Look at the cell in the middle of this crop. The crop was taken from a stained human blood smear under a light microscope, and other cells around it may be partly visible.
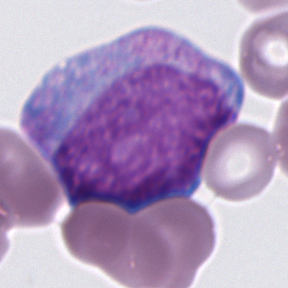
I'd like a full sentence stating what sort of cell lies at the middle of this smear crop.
The central cell shown in this smear crop is an atypical promyelocyte.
